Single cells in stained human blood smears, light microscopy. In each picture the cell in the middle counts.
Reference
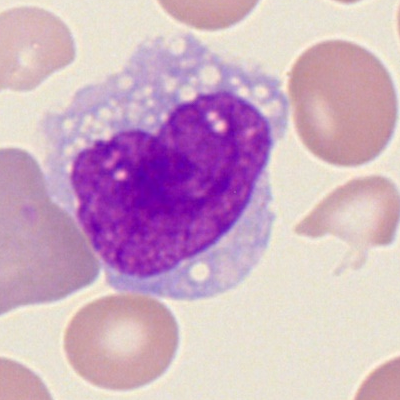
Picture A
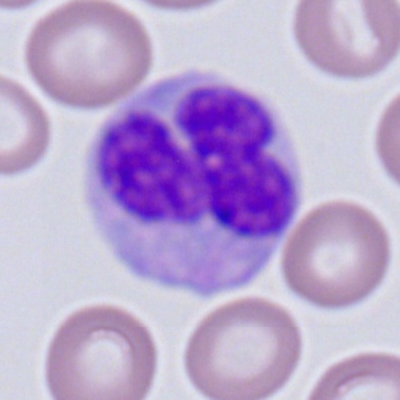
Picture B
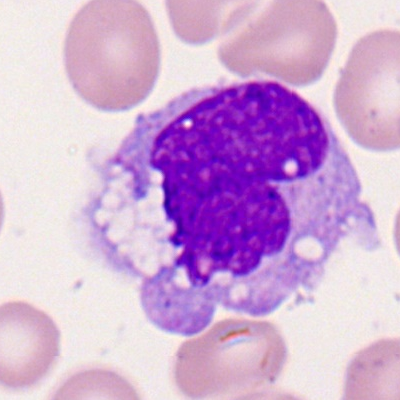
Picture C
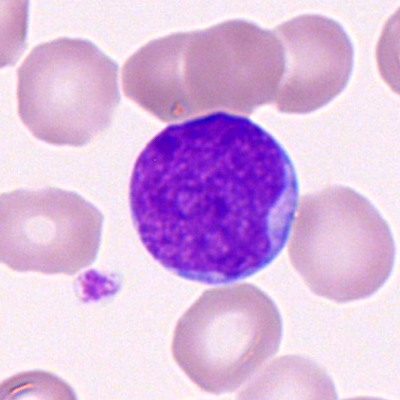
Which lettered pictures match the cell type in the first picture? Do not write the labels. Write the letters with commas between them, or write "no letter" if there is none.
A, B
